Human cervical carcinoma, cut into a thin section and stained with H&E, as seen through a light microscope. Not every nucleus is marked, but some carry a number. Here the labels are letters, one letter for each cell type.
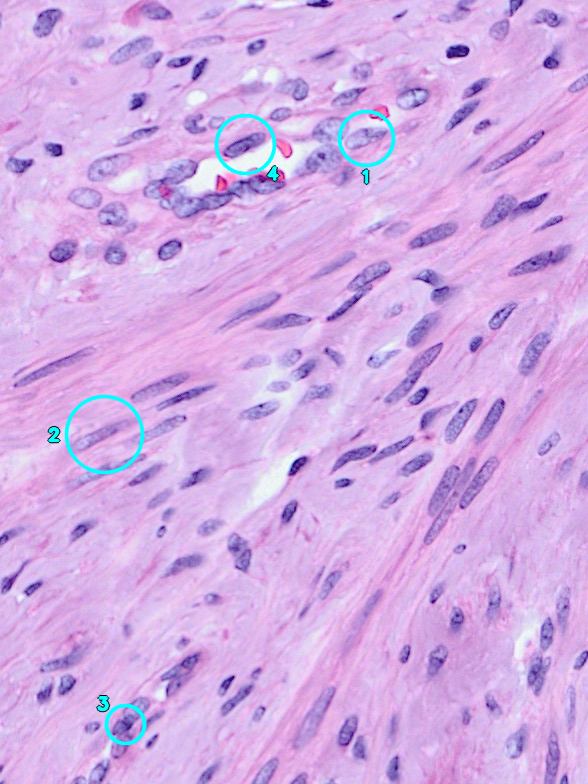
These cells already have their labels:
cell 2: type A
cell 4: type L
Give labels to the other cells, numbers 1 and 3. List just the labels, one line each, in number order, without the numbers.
type L
type L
